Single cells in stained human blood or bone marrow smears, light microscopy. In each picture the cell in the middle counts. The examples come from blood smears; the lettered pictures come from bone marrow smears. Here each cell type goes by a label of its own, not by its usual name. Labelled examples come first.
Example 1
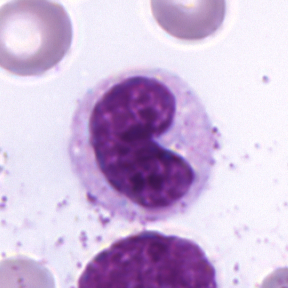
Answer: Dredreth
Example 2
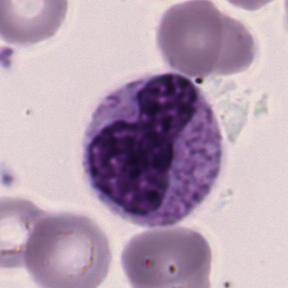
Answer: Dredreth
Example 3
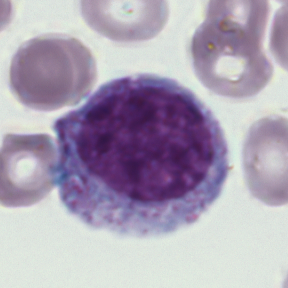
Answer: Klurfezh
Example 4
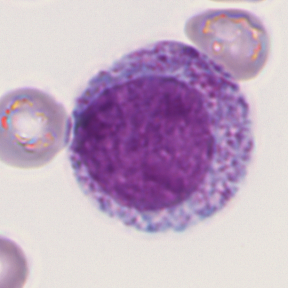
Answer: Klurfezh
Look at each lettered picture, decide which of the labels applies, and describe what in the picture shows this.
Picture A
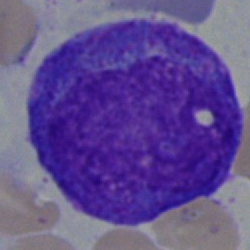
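Klurfezh. The chromatin looks finely granular rather than coarsely clumped.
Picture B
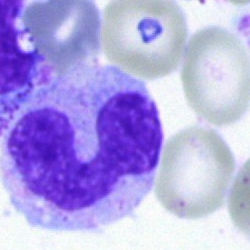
Dredreth. The chromatin is dark purple and coarsely clumped.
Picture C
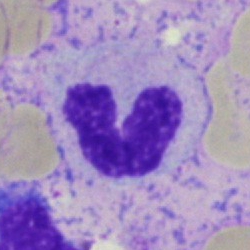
Dredreth. The nucleus is bent into a U shape with its open side facing upward.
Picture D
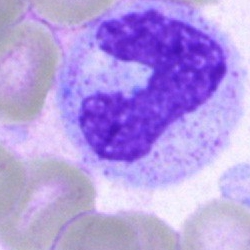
Dredreth. The chromatin is dark purple and coarsely clumped.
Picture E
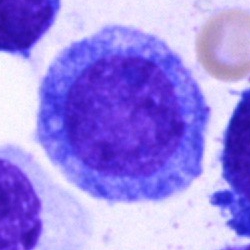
Klurfezh. The chromatin is finely granular rather than coarsely clumped.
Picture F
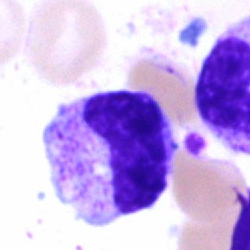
Dredreth. The chromatin is dark purple and coarsely clumped.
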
